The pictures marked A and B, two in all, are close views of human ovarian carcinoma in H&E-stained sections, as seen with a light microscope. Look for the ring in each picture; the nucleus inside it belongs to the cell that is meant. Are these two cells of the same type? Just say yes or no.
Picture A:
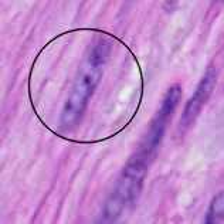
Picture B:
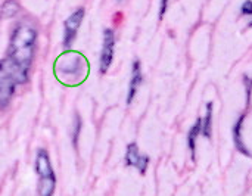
yes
